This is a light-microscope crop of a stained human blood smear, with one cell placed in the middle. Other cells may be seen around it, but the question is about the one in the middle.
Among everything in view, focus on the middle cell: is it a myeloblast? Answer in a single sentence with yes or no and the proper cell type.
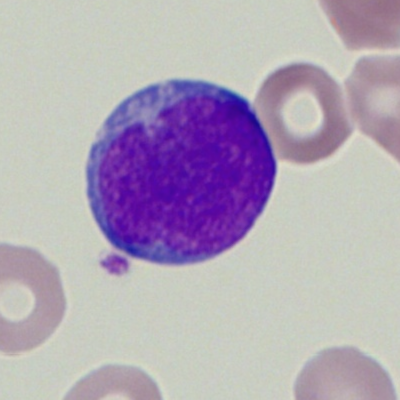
Yes, what sits in the centre of the crop is a myeloblast.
